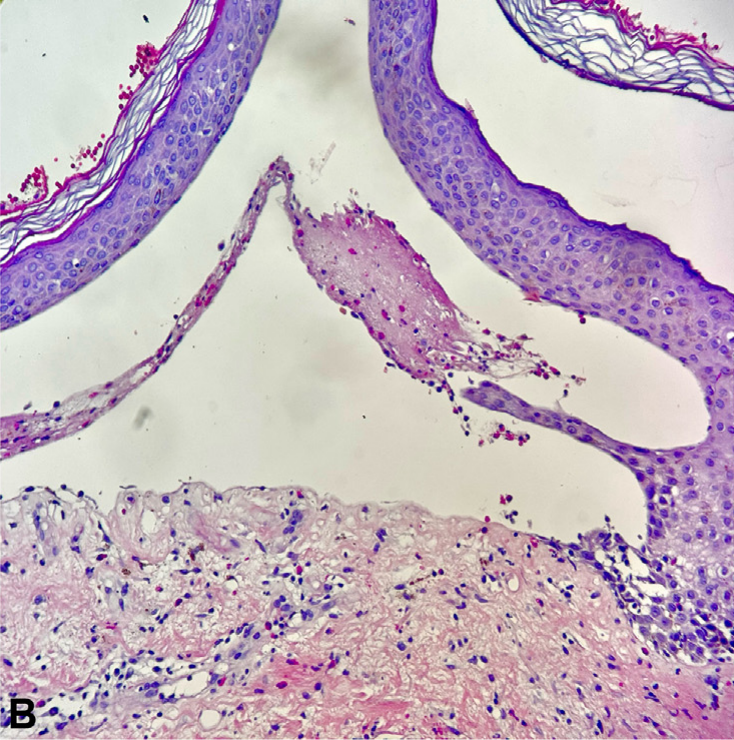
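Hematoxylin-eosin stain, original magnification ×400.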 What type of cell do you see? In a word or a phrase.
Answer: eosinophils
